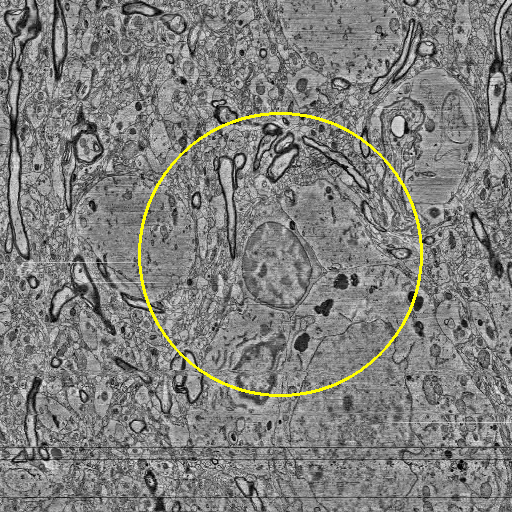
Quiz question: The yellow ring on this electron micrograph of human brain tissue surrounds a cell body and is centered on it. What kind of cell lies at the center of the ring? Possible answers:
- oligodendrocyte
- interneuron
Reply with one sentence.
The ring's center lies on an oligodendrocyte.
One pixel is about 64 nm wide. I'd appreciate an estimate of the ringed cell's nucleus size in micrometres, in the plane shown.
Approximately 6 by 4 micrometers in this plane.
